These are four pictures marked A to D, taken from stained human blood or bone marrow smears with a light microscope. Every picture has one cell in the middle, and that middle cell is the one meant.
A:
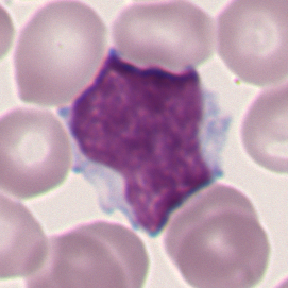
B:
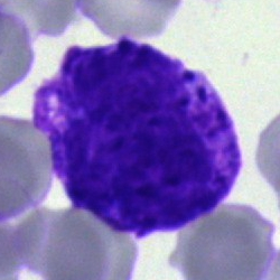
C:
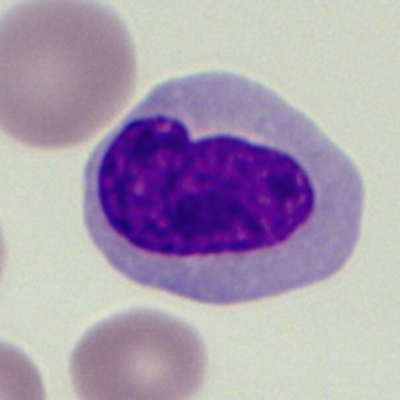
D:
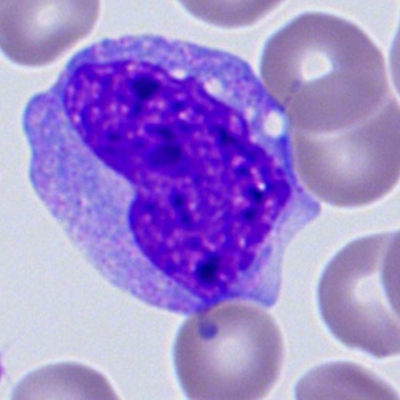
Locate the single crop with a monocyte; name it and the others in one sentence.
In the crop designated D, the cell is a monocyte, while crop A is a lymphocyte, crop B is a basophil and crop C is an erythroblast.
